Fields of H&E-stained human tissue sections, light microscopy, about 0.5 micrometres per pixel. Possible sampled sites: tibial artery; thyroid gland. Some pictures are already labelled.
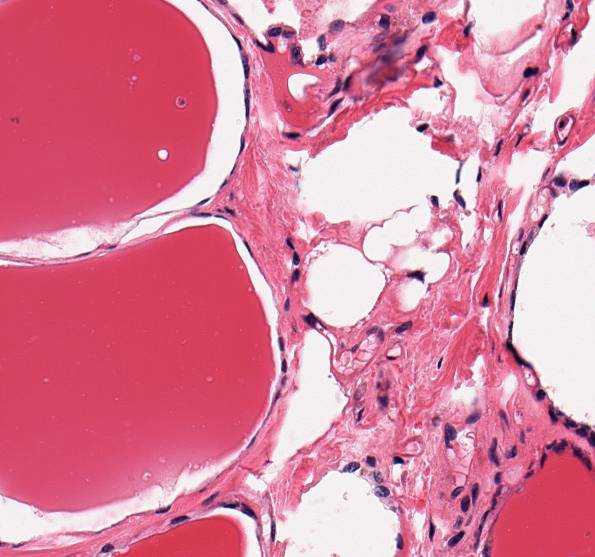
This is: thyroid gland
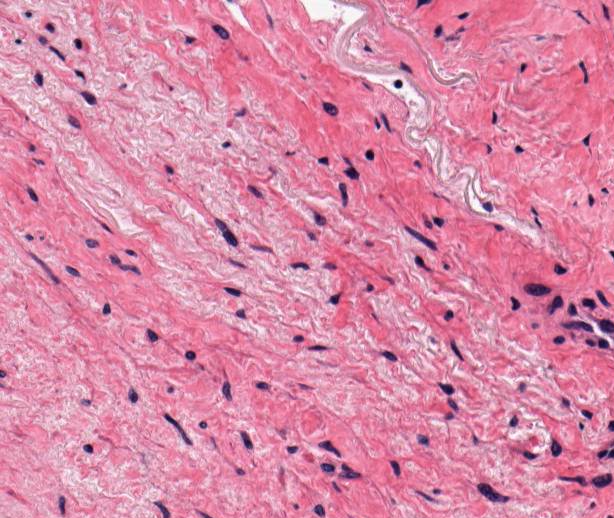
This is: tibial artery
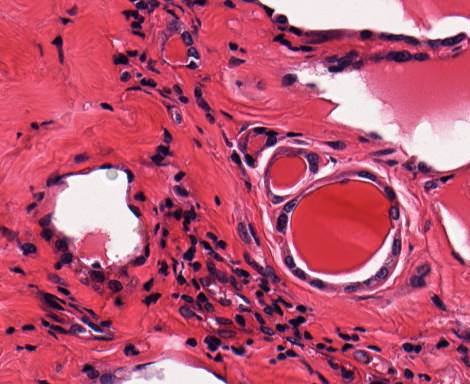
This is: thyroid gland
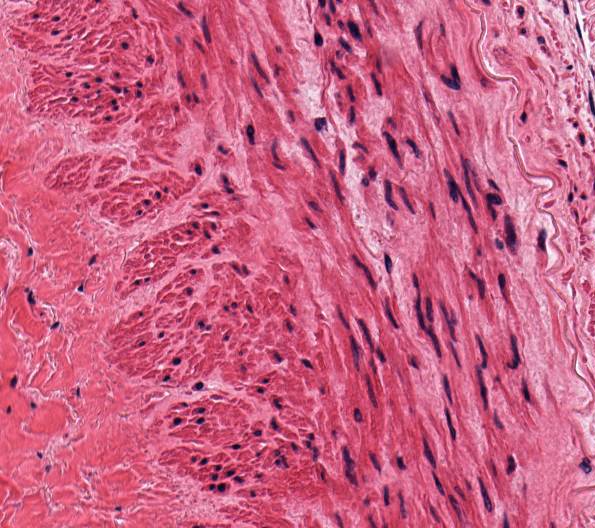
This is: tibial artery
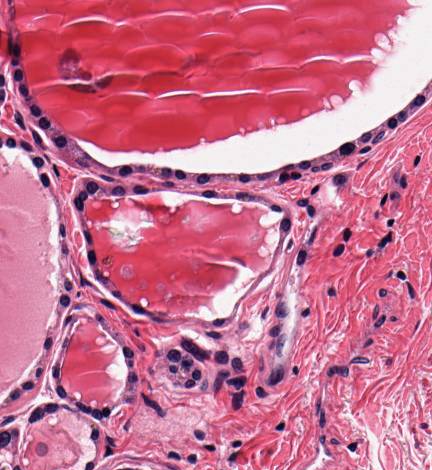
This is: thyroid gland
